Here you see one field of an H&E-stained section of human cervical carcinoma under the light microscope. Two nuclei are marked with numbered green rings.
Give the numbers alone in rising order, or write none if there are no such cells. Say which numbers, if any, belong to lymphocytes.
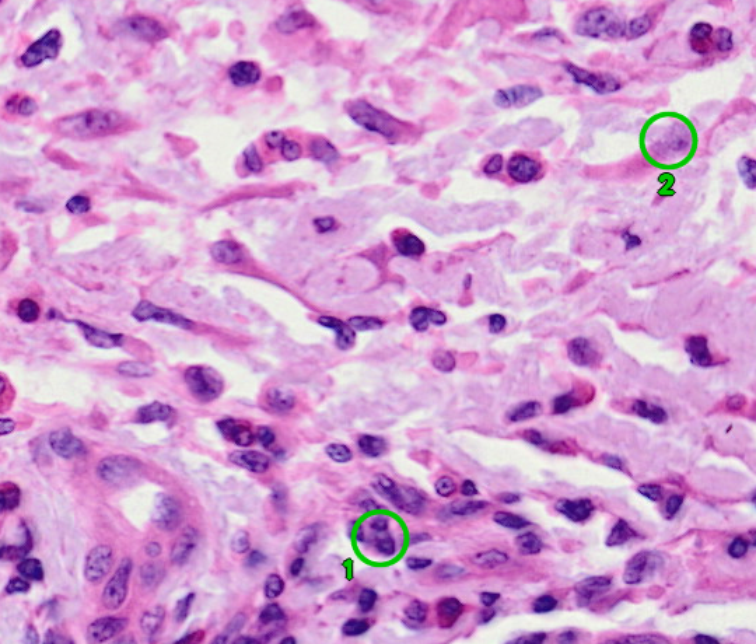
1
